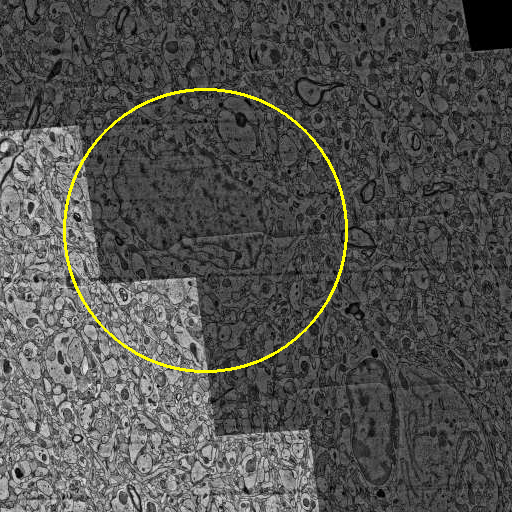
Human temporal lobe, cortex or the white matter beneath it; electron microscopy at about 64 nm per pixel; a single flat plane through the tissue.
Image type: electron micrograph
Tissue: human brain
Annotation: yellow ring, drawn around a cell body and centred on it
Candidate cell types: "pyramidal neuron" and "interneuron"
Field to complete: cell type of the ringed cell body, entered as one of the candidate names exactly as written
interneuron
